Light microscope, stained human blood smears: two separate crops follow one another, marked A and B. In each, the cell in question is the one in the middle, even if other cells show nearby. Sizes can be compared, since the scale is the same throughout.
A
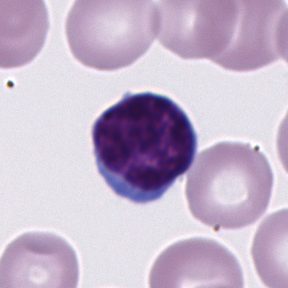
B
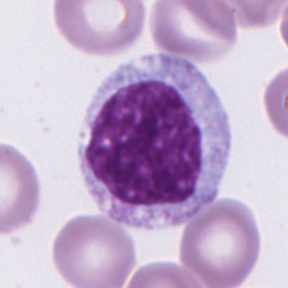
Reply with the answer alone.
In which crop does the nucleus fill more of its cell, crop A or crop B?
A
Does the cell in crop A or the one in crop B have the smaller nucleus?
A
